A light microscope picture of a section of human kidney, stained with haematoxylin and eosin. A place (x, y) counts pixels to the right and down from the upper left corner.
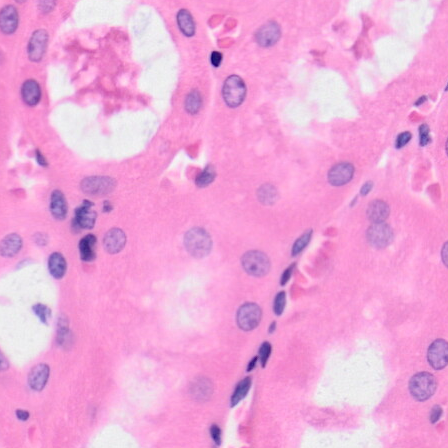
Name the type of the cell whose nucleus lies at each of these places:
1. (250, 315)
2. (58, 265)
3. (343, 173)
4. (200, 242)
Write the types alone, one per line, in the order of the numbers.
proximal tubule cell
loop of Henle or distal tubule cell
proximal tubule cell
proximal tubule cell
